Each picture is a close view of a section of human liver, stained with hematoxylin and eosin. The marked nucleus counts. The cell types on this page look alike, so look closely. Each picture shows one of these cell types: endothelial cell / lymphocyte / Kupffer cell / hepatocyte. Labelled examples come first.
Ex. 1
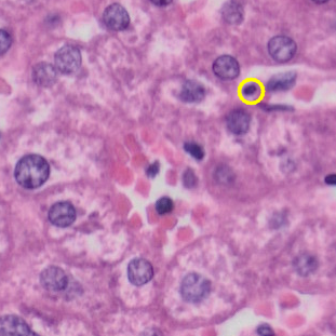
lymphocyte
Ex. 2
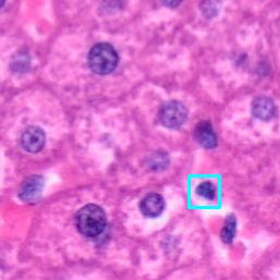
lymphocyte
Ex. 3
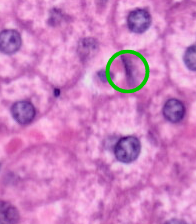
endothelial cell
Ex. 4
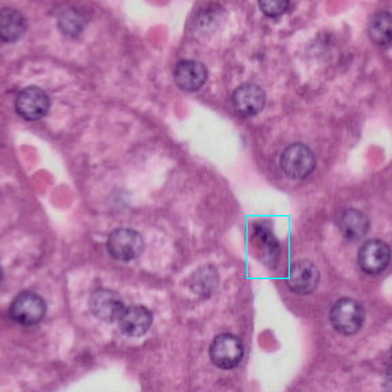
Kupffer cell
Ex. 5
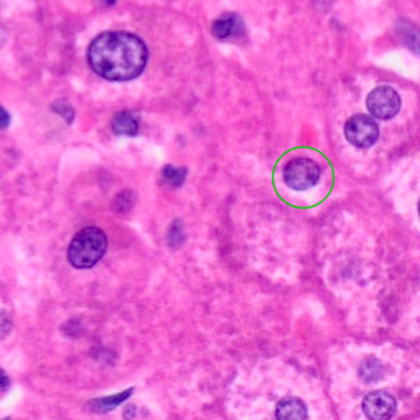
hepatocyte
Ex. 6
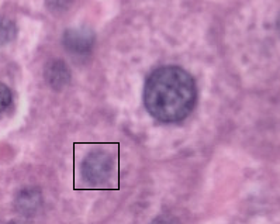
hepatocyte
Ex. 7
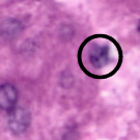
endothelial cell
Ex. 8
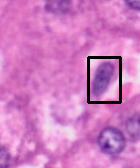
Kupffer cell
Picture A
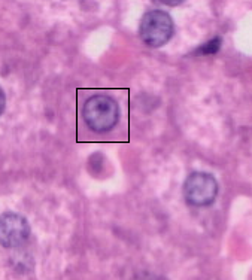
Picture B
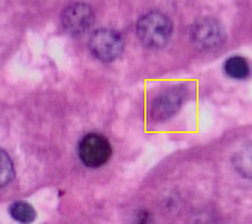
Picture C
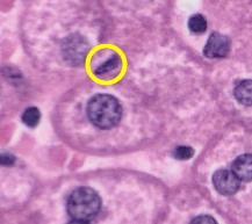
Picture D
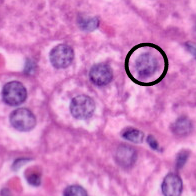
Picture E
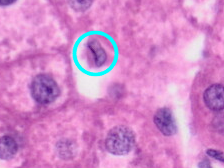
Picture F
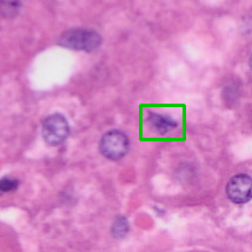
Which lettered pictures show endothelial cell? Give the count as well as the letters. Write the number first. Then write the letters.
Count: 2 (C, F)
